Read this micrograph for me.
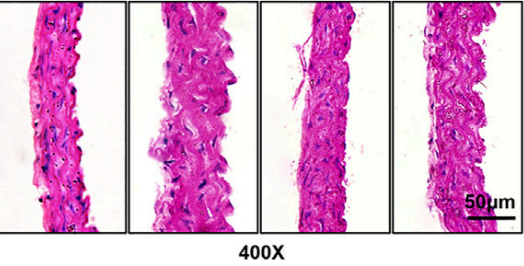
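The wall is built of wavy, closely stacked pink lamellae. Elongated dark purple nuclei lie between the lamellae through the thickness of the wall. Clear space borders the wall on both sides.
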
